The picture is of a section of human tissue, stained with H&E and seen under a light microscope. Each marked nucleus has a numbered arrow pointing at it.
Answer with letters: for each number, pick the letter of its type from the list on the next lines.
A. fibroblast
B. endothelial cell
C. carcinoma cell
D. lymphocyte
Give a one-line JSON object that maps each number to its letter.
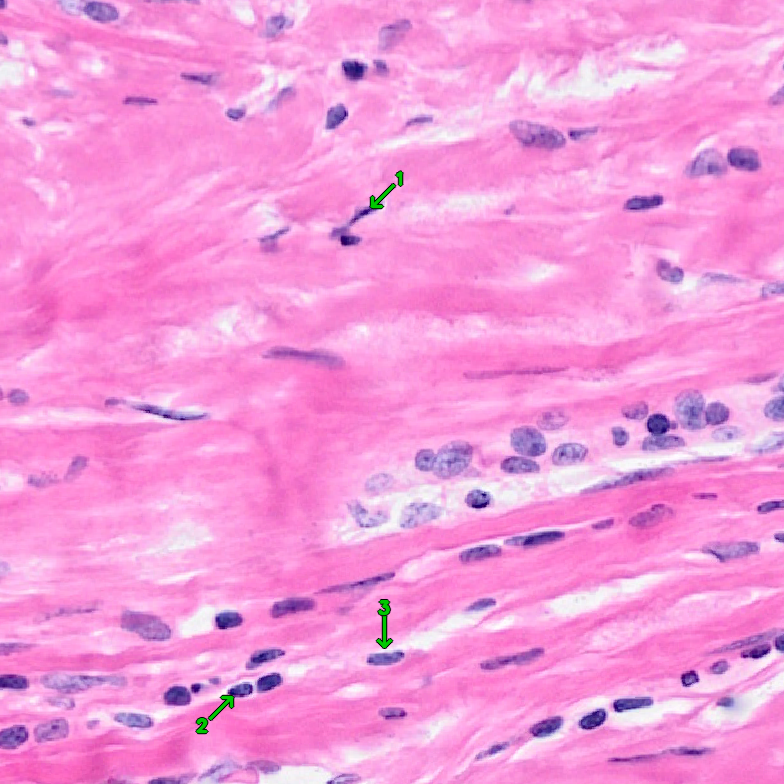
{"1": "A", "2": "D", "3": "D"}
